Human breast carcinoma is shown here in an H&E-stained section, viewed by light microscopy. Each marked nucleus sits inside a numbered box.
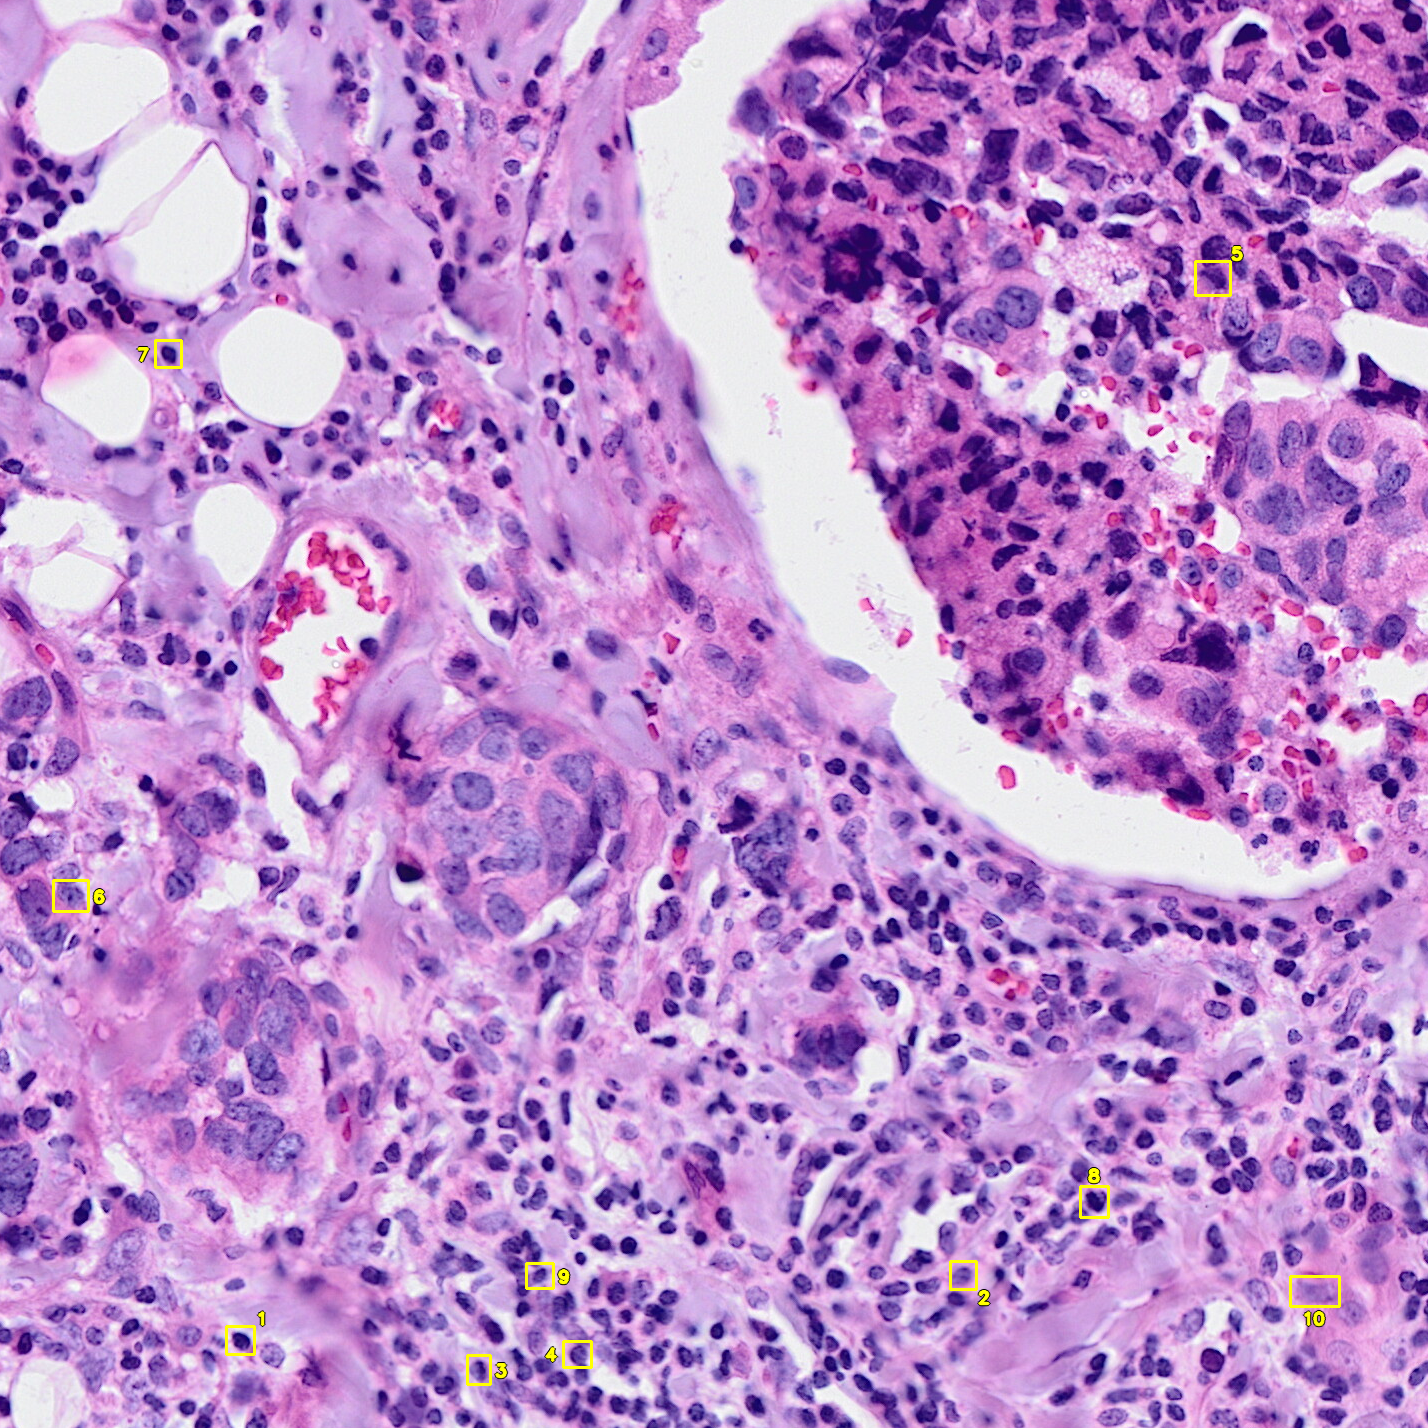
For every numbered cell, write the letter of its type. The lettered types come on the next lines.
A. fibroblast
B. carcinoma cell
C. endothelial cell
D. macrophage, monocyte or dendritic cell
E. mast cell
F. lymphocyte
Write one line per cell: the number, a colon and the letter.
1: F
2: E
3: F
4: F
5: B
6: B
7: F
8: F
9: F
10: C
